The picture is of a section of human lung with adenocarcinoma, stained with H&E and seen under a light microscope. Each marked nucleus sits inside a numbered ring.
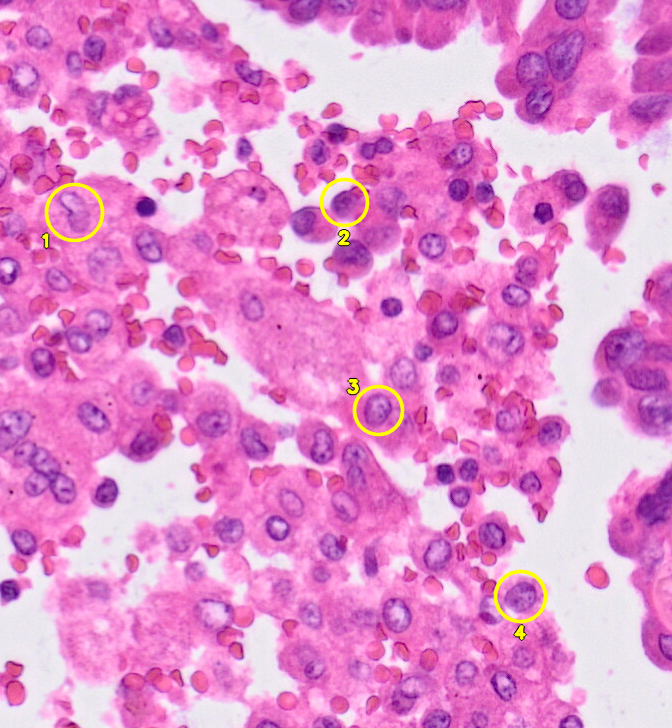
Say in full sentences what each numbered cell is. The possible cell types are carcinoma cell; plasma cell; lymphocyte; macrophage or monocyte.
Cell 1 is a macrophage or monocyte, cell 2 is a carcinoma cell, cell 3 is a macrophage or monocyte and cell 4 is a macrophage or monocyte.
